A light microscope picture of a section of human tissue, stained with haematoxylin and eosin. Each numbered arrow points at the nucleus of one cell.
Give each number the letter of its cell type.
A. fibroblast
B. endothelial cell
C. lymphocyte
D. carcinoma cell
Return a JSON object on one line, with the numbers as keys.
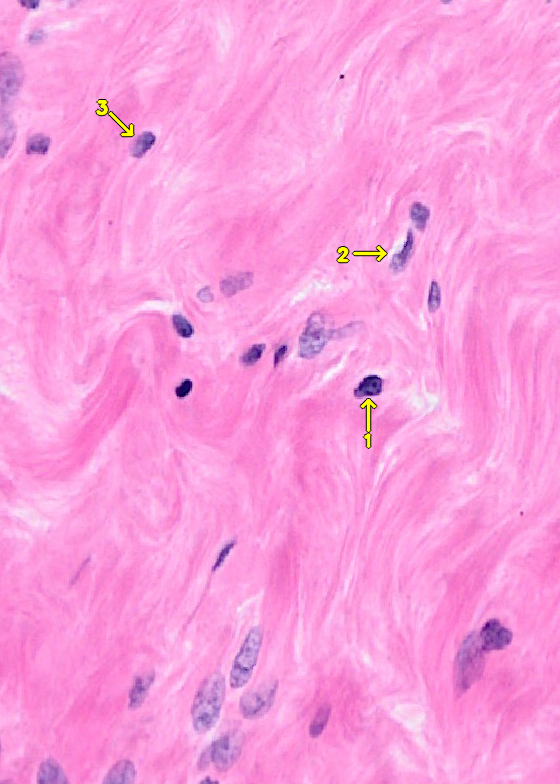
{"1": "C", "2": "A", "3": "C"}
